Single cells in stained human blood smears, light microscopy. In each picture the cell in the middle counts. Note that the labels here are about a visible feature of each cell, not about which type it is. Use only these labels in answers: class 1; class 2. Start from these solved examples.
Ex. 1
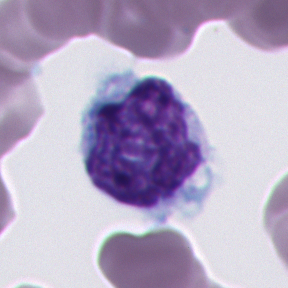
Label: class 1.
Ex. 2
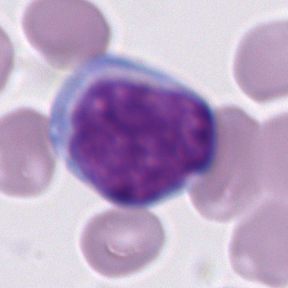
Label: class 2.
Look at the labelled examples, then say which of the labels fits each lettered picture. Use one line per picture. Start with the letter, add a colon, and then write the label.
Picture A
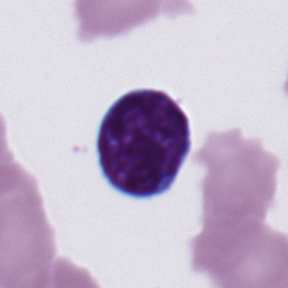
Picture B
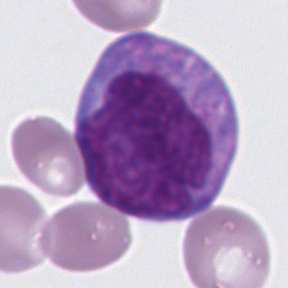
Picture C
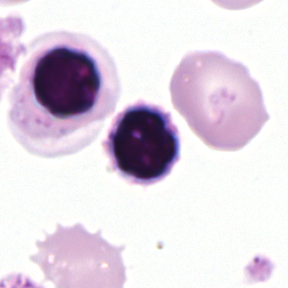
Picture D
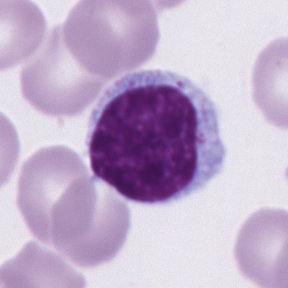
A: class 2.
B: class 2.
C: class 1.
D: class 2.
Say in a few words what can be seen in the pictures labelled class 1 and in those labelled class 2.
class 1: ragged outline or projections; class 2: smooth outline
